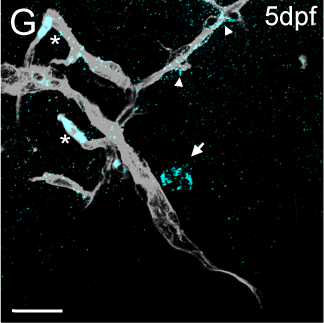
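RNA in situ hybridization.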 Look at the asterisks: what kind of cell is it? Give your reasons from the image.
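Bright uniform blobs lie within the lumen of white vessels. The blobs are smooth rather than punctate. That points to this answer: red blood cells.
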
